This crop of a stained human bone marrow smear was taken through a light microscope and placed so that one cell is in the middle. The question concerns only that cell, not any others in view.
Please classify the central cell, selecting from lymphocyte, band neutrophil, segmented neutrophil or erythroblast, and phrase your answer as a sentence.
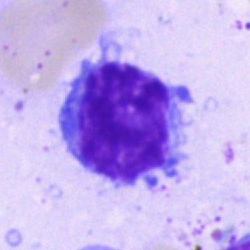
Answering briefly, the cell in the middle is a lymphocyte.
